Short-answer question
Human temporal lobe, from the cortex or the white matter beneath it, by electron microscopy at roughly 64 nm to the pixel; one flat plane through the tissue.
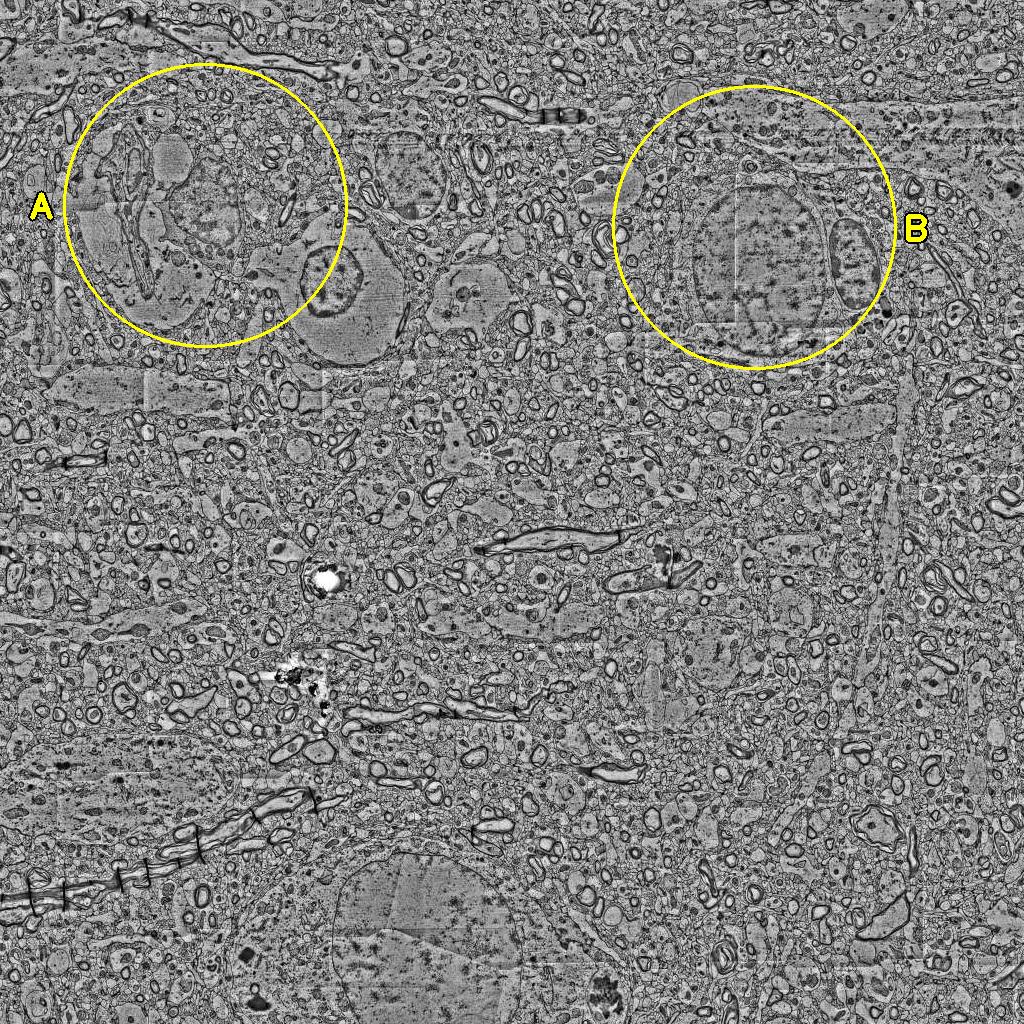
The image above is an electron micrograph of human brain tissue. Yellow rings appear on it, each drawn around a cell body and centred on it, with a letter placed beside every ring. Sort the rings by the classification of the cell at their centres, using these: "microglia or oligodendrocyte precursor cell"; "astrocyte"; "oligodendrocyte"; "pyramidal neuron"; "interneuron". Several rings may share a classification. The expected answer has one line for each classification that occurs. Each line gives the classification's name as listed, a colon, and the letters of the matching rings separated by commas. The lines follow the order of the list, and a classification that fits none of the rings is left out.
oligodendrocyte: A
interneuron: B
